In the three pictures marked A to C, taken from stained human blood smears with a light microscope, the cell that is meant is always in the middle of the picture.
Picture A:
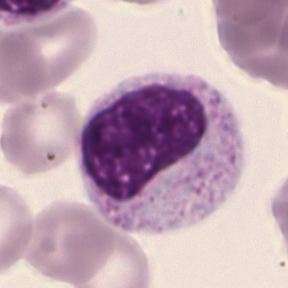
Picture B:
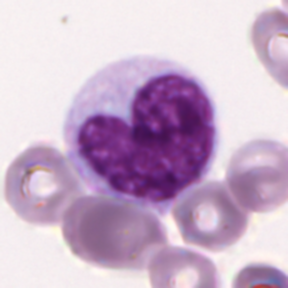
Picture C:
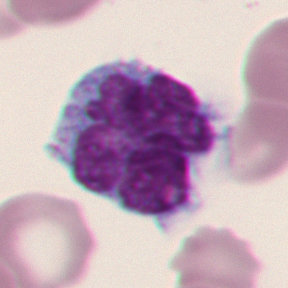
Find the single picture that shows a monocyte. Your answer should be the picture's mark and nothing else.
C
